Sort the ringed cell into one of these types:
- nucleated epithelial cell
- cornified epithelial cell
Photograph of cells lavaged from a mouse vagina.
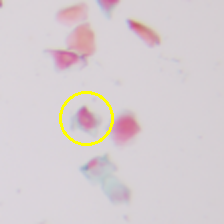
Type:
nucleated epithelial cell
